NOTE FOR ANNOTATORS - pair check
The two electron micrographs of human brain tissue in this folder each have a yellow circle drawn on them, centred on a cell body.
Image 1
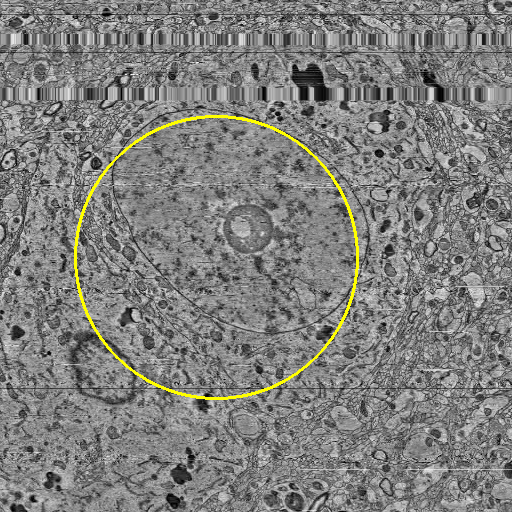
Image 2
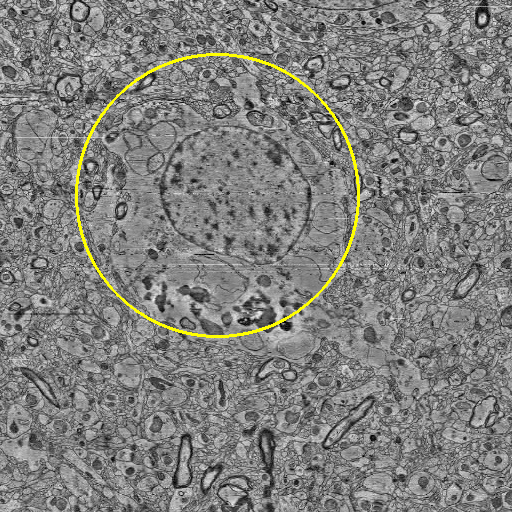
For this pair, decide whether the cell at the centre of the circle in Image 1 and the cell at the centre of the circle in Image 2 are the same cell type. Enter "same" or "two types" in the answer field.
two types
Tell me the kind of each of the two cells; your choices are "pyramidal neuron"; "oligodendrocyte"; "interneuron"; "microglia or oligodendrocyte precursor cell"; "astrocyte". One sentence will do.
The ringed cell is a pyramidal neuron in the first picture and an astrocyte in the second picture.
